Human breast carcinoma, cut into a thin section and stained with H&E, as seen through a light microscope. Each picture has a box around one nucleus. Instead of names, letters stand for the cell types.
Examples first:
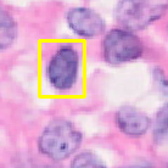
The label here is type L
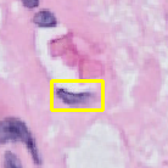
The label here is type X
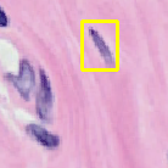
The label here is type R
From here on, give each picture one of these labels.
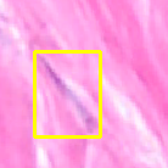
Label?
type R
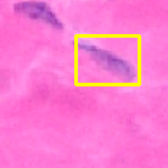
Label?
type R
